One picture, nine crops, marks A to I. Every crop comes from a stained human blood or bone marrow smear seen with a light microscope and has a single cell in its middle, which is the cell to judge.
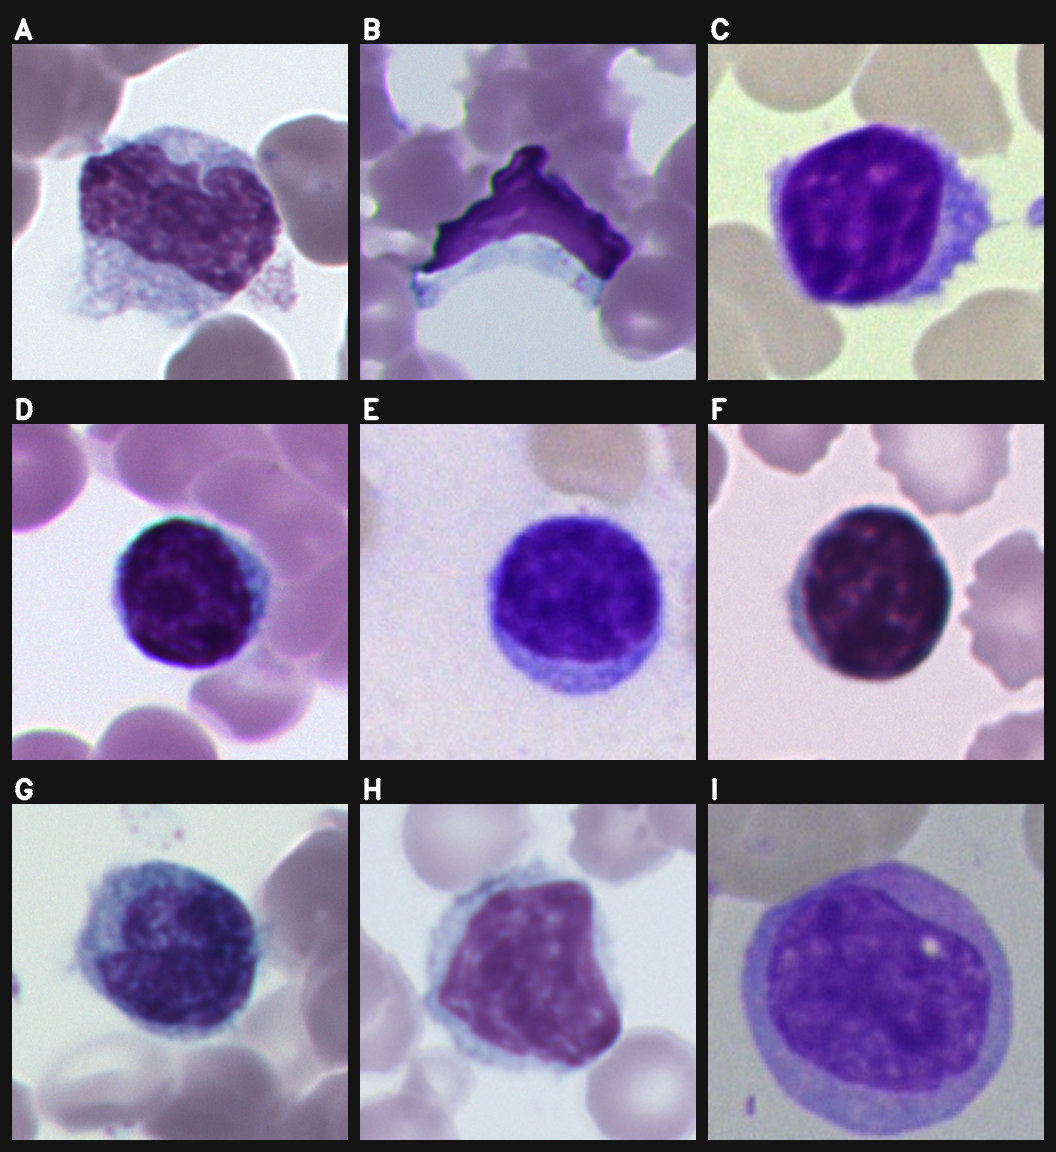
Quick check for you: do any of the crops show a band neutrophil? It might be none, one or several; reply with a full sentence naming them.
To answer plainly, no crop here shows a band neutrophil.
